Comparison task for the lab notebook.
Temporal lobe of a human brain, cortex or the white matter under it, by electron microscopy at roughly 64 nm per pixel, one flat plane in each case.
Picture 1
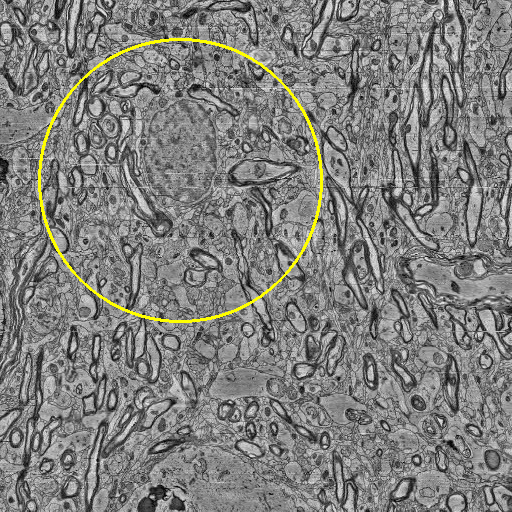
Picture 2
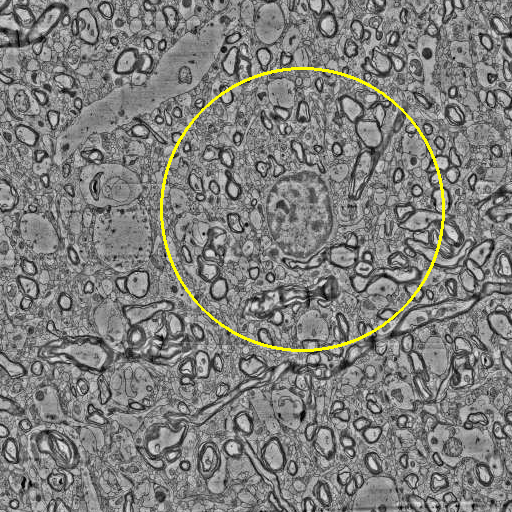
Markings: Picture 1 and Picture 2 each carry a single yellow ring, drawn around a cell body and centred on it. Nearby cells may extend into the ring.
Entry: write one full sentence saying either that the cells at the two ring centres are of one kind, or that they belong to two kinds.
The cells sitting at the ring centres in Picture 1 and Picture 2 are of one kind.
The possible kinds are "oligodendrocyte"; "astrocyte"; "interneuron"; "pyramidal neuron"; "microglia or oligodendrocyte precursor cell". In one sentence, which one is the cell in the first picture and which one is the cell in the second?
The cell at the ring centre is an oligodendrocyte in both pictures.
